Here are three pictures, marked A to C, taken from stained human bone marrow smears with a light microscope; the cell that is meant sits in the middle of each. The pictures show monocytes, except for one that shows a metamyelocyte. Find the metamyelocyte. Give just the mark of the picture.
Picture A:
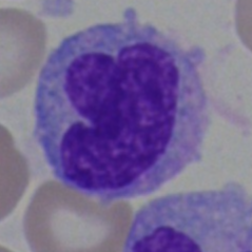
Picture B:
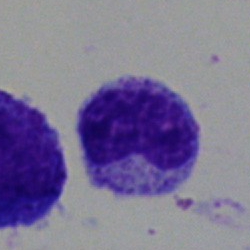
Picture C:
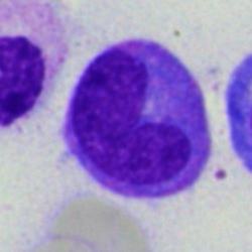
B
